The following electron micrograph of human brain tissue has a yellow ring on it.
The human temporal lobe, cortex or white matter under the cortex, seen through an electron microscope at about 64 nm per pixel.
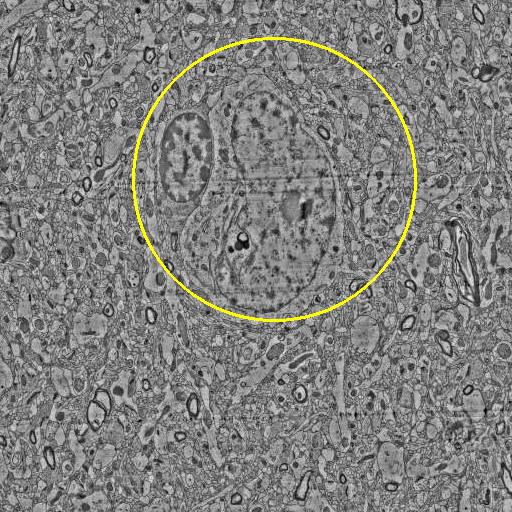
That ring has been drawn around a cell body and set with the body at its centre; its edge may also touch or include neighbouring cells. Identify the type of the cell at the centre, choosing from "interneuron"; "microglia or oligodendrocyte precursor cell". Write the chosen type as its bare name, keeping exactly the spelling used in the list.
interneuron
